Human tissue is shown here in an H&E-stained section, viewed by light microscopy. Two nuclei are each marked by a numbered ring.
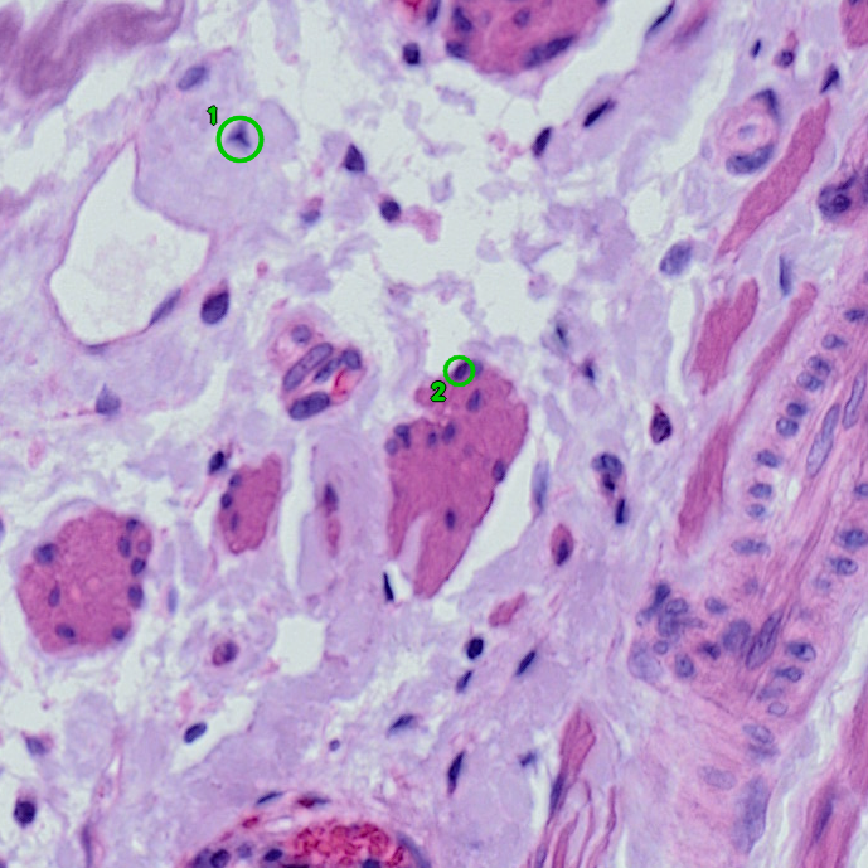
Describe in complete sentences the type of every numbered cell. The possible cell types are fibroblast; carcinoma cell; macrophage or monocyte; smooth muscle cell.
Cell 1 is a fibroblast. Cell 2 is a smooth muscle cell.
